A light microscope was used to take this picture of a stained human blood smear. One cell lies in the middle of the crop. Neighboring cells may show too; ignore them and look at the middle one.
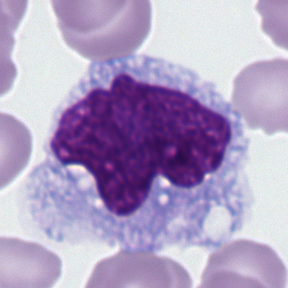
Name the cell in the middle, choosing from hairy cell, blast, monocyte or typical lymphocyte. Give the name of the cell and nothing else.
monocyte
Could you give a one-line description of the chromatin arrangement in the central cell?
There is no coarse clumping; the chromatin stays fine throughout.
